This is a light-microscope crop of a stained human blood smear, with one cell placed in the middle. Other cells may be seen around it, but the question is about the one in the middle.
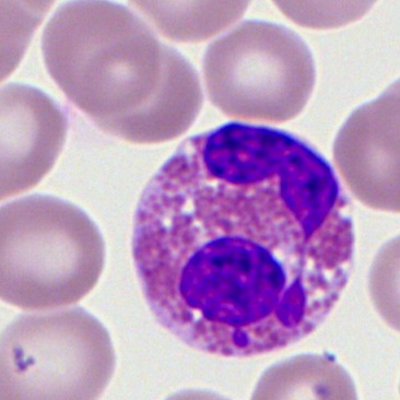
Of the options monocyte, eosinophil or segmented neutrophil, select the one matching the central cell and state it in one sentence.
What sits at the centre of this crop is an eosinophil.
